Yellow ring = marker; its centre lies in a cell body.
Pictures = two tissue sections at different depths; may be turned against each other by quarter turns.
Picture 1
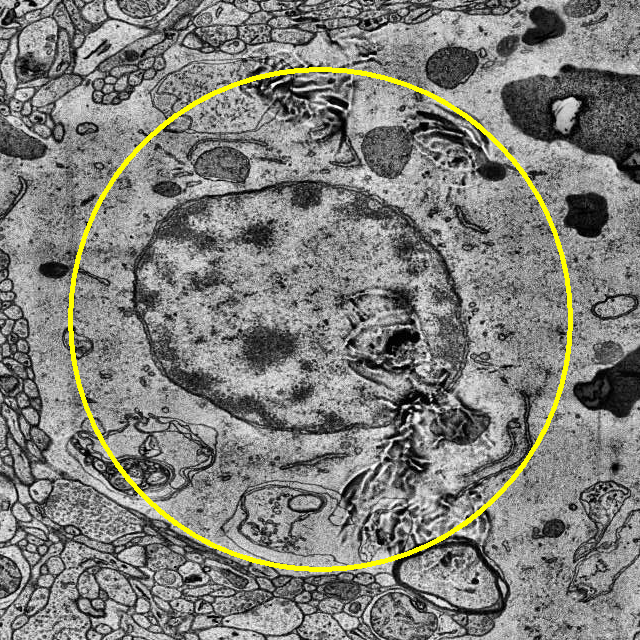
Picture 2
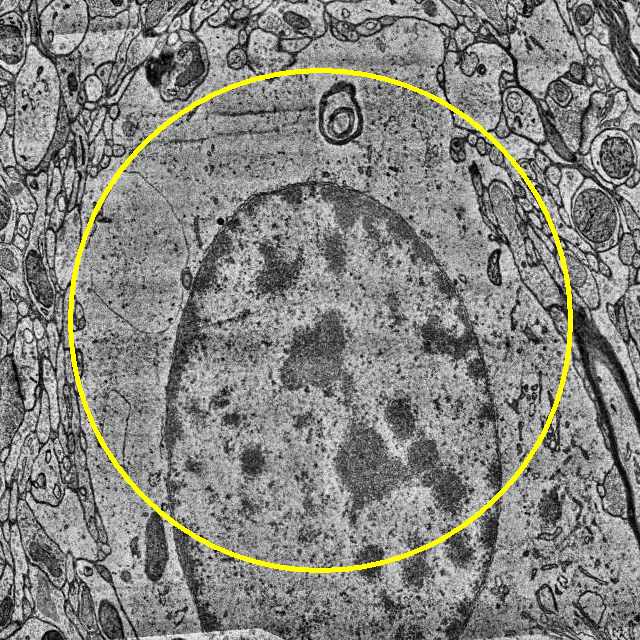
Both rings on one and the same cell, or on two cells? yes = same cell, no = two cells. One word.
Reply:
no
